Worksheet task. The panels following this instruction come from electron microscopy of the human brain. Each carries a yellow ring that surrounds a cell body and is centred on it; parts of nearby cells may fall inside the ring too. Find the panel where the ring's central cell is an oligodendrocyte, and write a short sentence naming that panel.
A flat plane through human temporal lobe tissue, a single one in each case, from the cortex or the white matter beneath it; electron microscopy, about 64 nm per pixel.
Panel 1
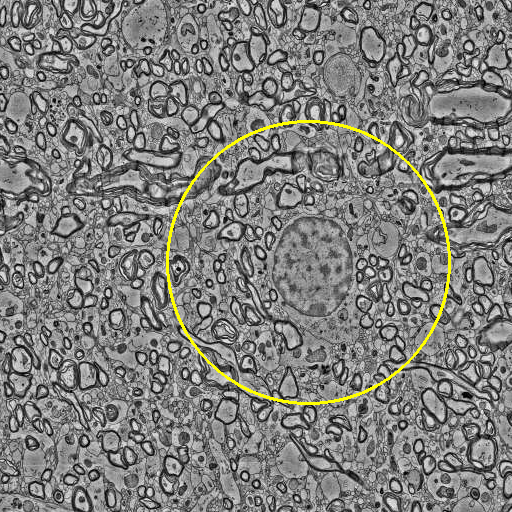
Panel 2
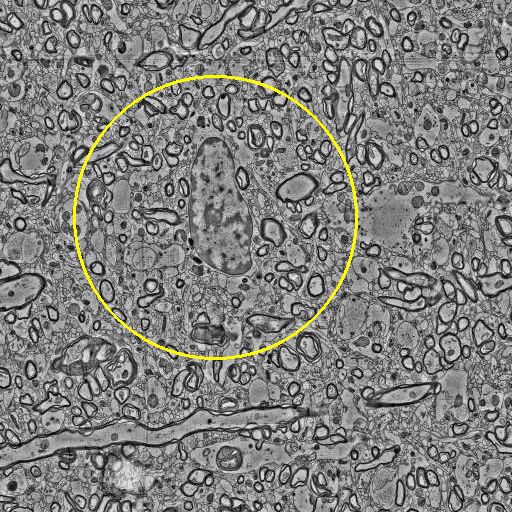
The cell sought is in Panel 1.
